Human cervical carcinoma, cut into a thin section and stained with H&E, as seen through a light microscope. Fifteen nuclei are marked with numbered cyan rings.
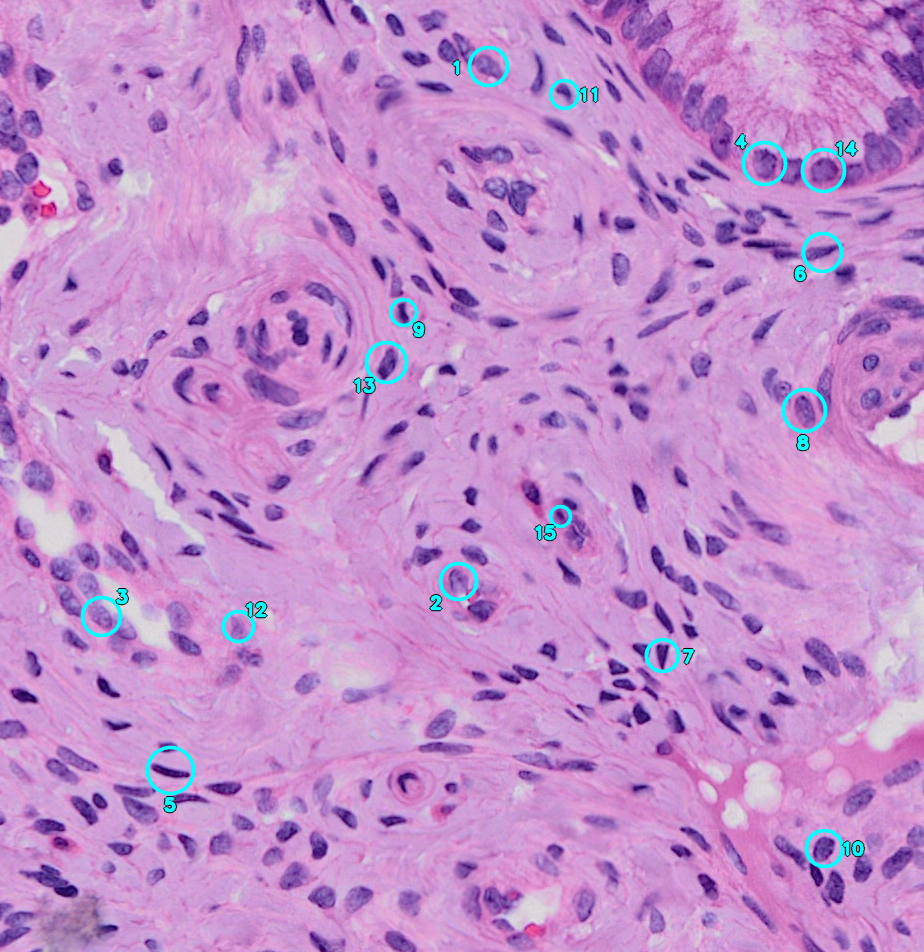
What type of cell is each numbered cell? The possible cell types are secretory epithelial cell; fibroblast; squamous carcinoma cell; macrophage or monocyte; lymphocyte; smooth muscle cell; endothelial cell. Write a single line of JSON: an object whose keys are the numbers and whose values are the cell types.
{"1": "endothelial cell", "2": "endothelial cell", "3": "endothelial cell", "4": "secretory epithelial cell", "5": "fibroblast", "6": "fibroblast", "7": "fibroblast", "8": "smooth muscle cell", "9": "fibroblast", "10": "fibroblast", "11": "fibroblast", "12": "smooth muscle cell", "13": "fibroblast", "14": "secretory epithelial cell", "15": "endothelial cell"}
